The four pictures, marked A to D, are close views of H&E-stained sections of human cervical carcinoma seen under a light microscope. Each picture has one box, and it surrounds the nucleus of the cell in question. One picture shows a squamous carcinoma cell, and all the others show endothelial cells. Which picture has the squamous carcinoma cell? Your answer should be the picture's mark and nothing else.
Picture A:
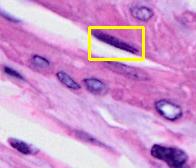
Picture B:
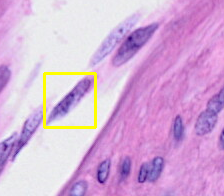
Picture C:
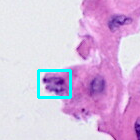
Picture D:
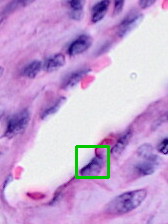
C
